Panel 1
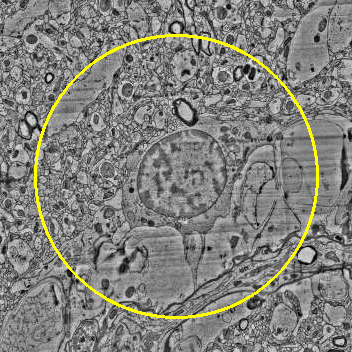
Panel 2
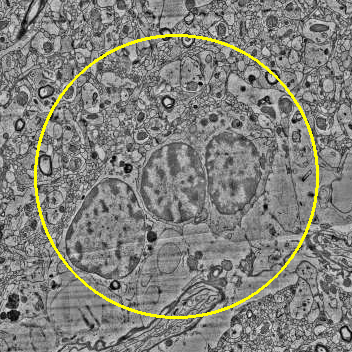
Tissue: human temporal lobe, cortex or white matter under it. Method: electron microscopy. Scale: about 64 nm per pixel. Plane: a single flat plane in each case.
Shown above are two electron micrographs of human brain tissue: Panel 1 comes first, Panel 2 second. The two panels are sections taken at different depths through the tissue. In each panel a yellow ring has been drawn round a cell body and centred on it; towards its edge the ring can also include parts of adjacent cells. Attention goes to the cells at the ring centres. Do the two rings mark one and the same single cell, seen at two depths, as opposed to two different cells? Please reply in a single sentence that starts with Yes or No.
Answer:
Yes, the same cell has been marked in both yellow rings.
